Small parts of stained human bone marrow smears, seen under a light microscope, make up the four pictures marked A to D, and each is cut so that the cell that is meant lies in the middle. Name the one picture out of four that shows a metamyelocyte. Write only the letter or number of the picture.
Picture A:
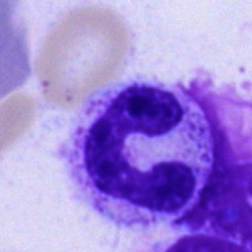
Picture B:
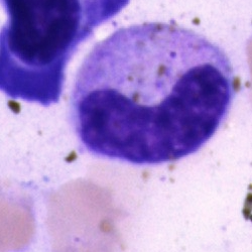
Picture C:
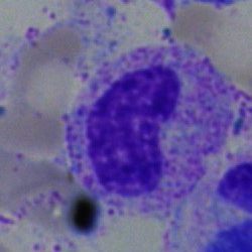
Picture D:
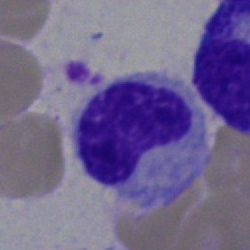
C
